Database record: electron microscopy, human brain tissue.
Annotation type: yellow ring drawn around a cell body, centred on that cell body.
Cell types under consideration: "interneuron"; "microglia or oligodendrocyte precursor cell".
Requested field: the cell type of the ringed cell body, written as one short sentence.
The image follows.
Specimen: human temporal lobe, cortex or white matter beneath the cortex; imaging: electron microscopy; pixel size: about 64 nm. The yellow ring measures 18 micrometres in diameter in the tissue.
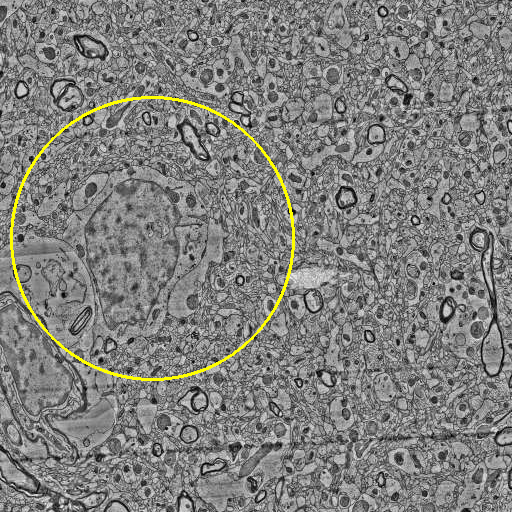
The ringed cell body represents an interneuron.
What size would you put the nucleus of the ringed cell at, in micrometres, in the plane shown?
The nucleus is about 9 micrometres in length and 6 in width, clearly longer than it is wide in this plane.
